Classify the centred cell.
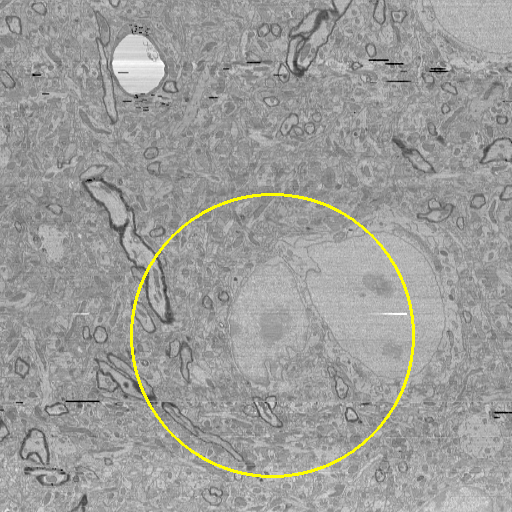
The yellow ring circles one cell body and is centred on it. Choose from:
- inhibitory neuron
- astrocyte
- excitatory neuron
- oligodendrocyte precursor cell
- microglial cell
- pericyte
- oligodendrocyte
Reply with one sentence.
The ring is centred on an oligodendrocyte precursor cell.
